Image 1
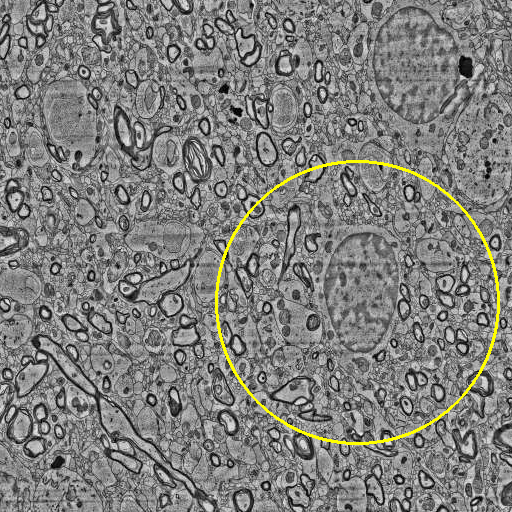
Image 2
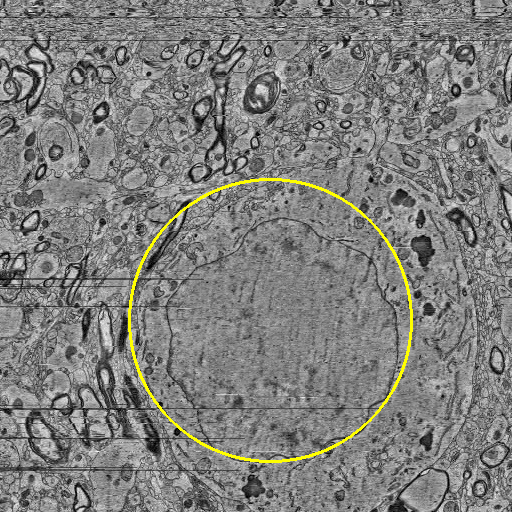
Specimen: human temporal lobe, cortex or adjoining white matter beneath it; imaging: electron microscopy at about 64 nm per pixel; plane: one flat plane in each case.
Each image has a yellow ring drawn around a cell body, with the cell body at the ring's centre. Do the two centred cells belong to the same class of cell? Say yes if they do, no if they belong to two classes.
no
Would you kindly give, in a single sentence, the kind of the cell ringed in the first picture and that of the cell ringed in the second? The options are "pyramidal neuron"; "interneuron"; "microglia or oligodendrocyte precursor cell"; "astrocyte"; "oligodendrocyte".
The second cell is a pyramidal neuron, and the first cell is an oligodendrocyte.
